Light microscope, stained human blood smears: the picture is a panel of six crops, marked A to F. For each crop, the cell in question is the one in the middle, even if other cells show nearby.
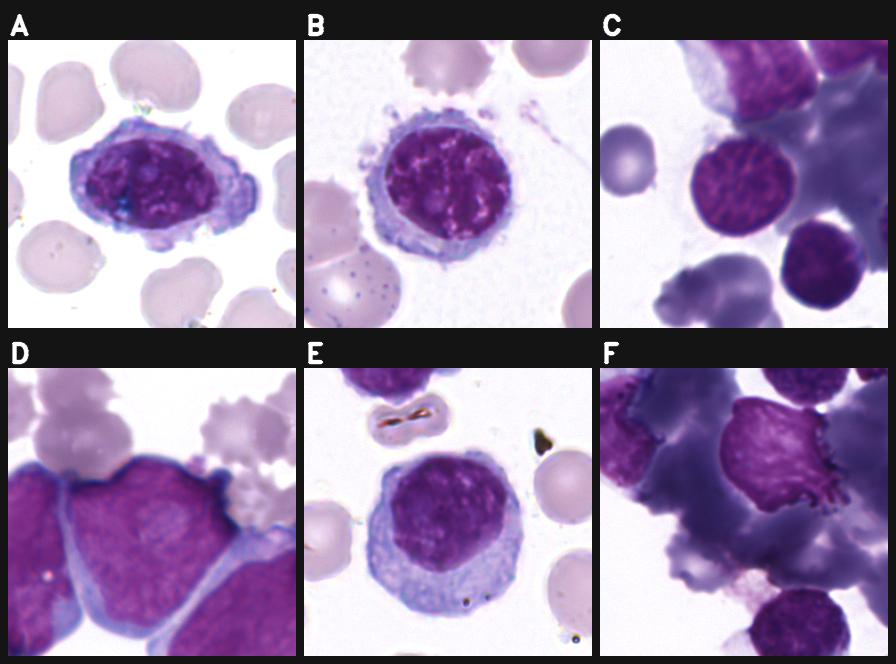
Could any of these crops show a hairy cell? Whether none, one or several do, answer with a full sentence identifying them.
Among the crops, not a single one shows a hairy cell.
